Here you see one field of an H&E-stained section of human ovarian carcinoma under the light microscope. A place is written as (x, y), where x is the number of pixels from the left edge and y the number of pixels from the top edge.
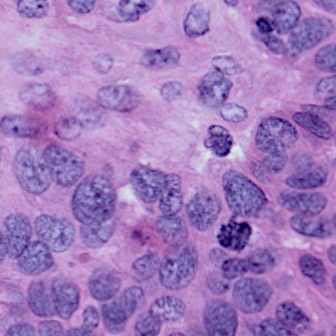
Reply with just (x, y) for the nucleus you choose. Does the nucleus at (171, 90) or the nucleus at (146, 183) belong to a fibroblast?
(171, 90)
